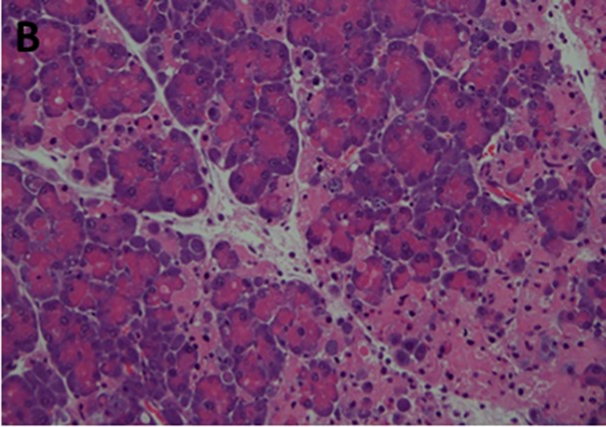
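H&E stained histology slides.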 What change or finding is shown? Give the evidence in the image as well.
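Wide pale pink-grey spaces separate groups of acini. Interlobular septa are broadened and loose.
Conclusion: oedema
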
